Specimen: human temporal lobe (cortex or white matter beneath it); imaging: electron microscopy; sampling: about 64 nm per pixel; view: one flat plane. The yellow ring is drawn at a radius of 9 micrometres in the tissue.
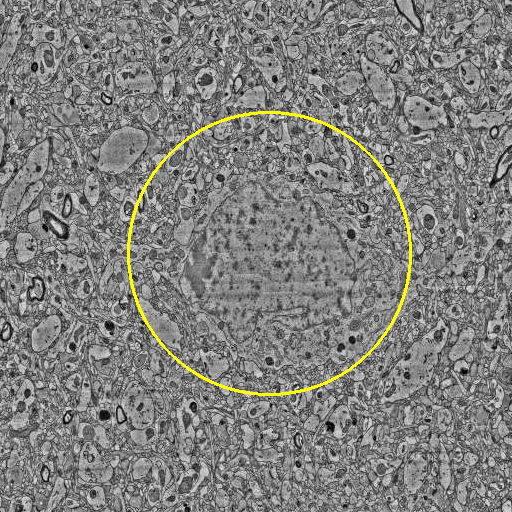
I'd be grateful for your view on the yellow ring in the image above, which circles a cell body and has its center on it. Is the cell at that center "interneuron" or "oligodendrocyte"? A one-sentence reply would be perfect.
The cell at the center of the yellow ring is an interneuron.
